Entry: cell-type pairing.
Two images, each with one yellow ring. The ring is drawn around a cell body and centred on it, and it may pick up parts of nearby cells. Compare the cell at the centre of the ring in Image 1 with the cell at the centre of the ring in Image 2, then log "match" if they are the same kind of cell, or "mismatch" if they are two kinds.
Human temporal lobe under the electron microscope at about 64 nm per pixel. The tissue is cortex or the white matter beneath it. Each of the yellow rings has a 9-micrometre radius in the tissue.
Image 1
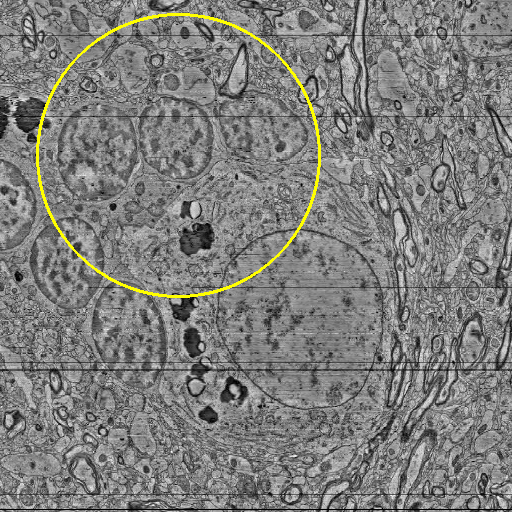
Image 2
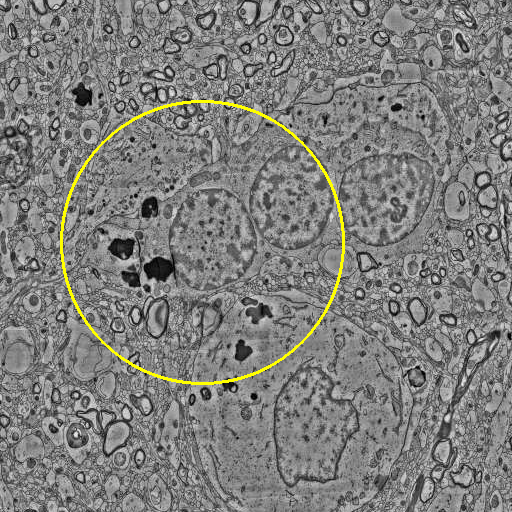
match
